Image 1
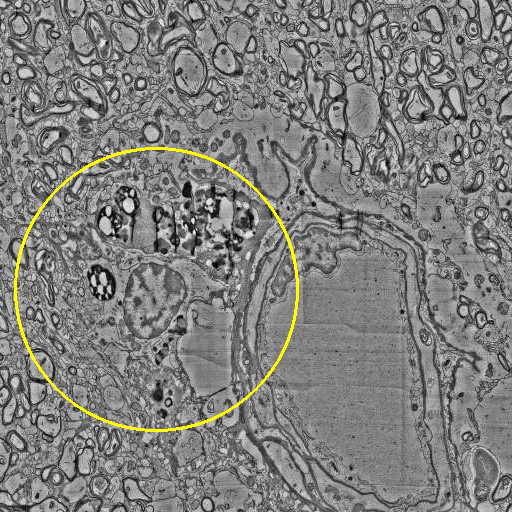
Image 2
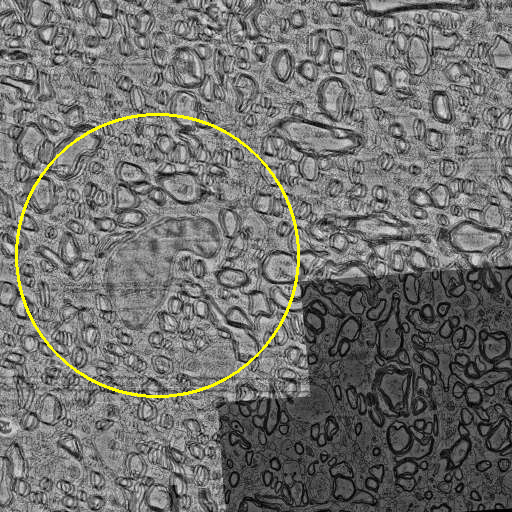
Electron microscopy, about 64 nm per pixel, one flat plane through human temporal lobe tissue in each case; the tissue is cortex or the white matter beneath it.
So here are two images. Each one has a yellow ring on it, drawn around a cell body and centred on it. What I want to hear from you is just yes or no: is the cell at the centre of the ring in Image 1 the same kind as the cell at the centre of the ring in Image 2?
yes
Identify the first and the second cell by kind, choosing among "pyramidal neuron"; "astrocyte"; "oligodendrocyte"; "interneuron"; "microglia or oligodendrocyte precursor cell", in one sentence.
Both pictures show a microglial cell or oligodendrocyte precursor cell at the centre of the ring.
